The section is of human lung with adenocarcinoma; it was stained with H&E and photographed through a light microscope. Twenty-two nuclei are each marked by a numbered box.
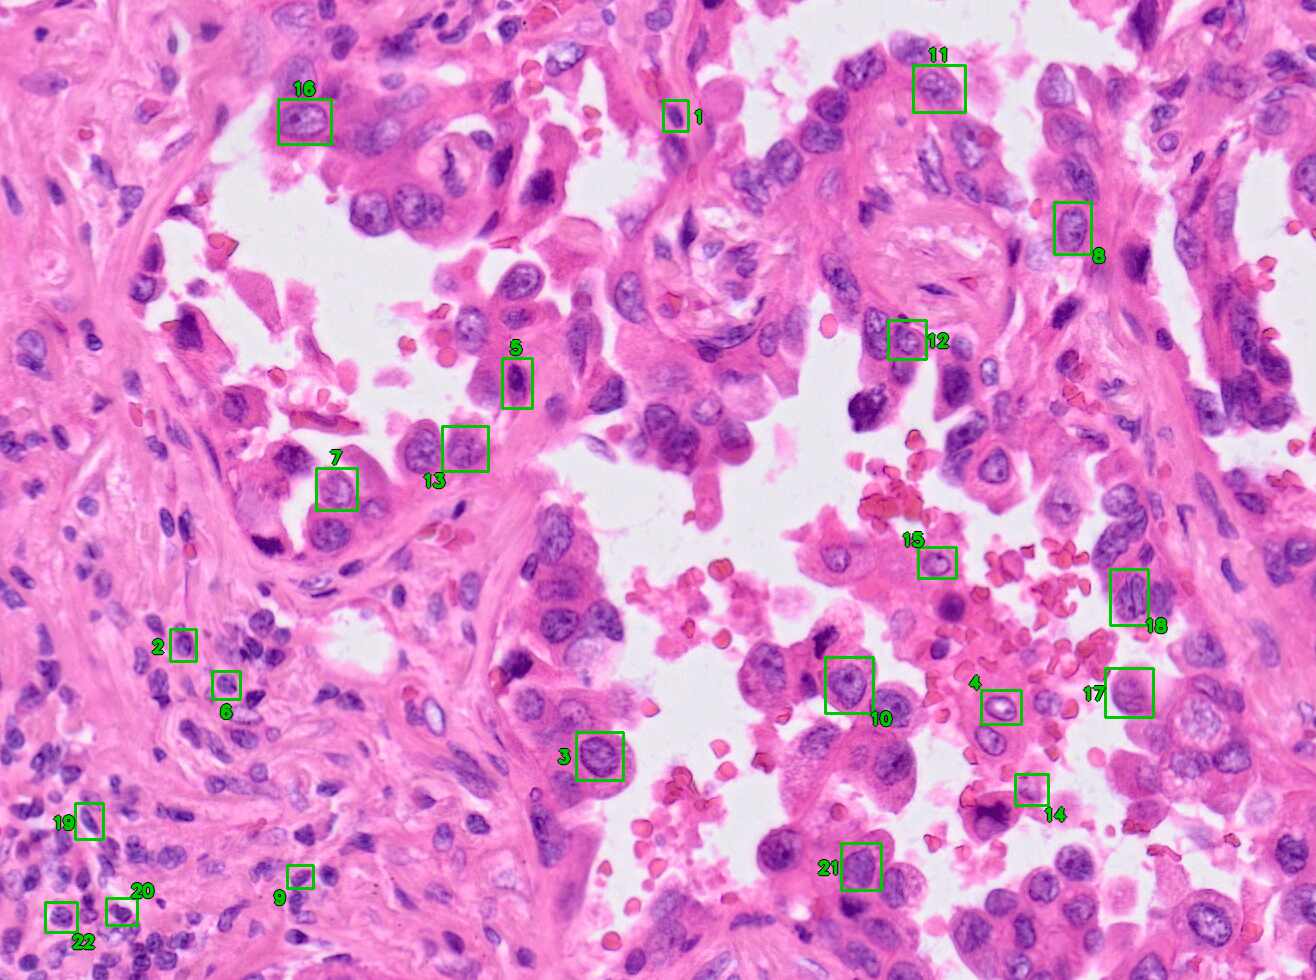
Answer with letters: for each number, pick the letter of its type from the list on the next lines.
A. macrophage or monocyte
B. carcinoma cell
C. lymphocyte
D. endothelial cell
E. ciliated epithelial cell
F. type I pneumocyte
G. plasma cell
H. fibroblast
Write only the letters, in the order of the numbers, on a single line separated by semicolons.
C; G; B; A; B; C; B; B; C; B; B; B; B; A; A; B; B; B; C; C; B; C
